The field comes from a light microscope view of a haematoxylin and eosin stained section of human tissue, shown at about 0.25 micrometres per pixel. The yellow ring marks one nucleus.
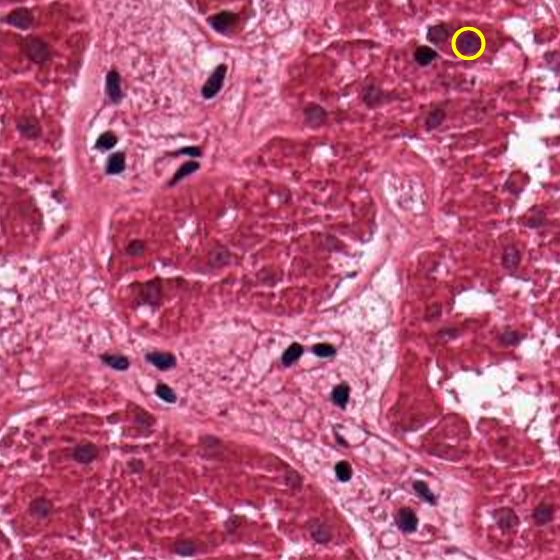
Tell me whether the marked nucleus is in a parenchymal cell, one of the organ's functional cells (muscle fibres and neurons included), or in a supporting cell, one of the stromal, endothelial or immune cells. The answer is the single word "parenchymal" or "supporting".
parenchymal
